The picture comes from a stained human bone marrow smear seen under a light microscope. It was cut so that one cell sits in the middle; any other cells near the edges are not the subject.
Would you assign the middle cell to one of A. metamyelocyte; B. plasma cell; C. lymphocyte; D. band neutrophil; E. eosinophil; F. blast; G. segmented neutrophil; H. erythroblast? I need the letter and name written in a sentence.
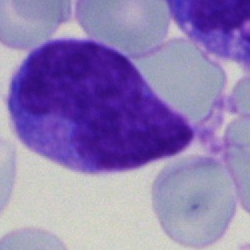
The right choice is option F: the cell in the middle is a blast.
